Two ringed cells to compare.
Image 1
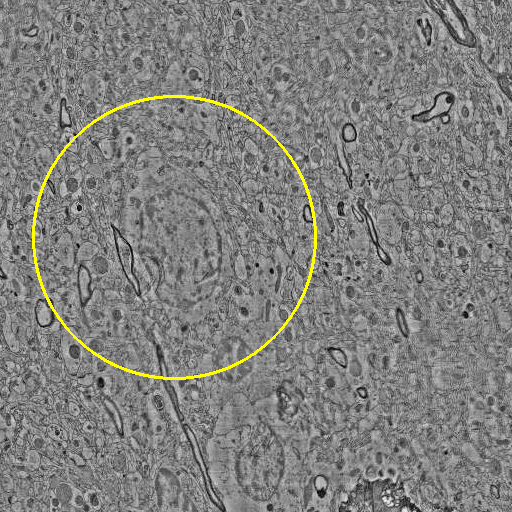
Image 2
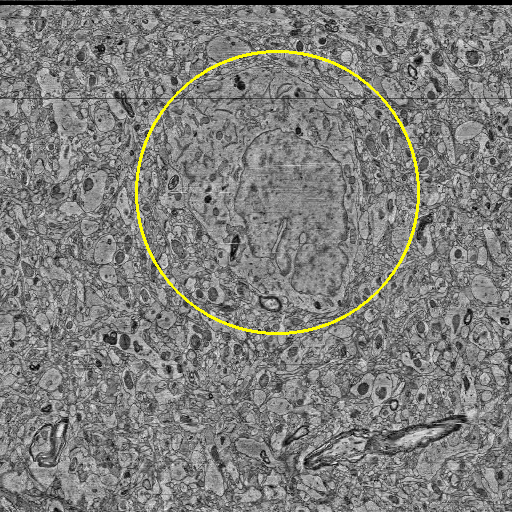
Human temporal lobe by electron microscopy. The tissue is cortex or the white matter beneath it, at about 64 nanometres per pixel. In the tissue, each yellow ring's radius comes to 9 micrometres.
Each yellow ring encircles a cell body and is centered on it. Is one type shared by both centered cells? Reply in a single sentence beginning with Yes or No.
No, two types are found among the cells at the centers of the rings.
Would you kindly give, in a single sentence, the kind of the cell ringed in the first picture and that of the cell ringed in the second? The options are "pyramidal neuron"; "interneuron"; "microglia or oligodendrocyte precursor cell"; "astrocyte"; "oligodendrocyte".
The second cell is an interneuron, and the first cell is an astrocyte.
